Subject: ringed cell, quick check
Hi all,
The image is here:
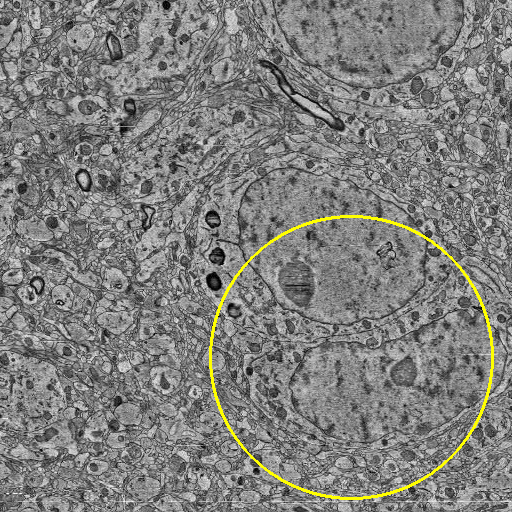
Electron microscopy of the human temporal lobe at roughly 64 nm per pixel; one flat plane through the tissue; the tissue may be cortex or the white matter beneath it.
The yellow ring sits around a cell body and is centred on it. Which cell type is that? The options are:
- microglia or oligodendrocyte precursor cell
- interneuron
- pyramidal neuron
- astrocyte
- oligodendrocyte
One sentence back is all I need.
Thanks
That ringed cell is an interneuron.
